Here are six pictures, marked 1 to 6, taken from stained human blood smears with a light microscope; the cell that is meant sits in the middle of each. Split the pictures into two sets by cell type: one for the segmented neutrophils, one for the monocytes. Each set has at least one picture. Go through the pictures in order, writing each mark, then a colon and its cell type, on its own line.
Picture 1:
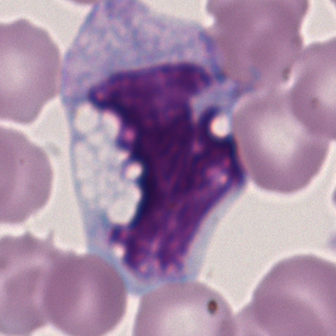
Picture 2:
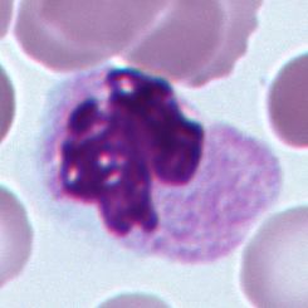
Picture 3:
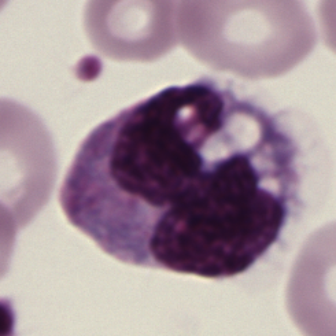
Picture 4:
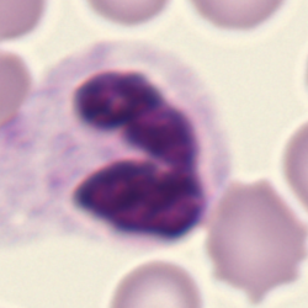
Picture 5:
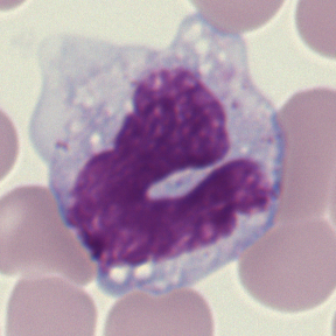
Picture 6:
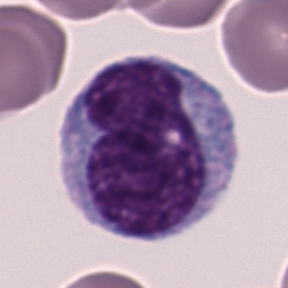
1: monocyte
2: segmented neutrophil
3: monocyte
4: segmented neutrophil
5: monocyte
6: monocyte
